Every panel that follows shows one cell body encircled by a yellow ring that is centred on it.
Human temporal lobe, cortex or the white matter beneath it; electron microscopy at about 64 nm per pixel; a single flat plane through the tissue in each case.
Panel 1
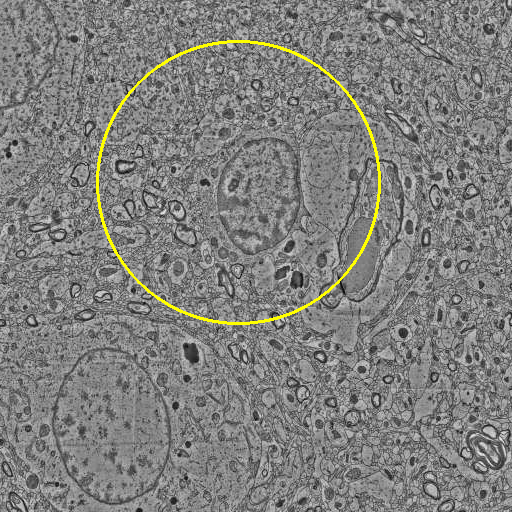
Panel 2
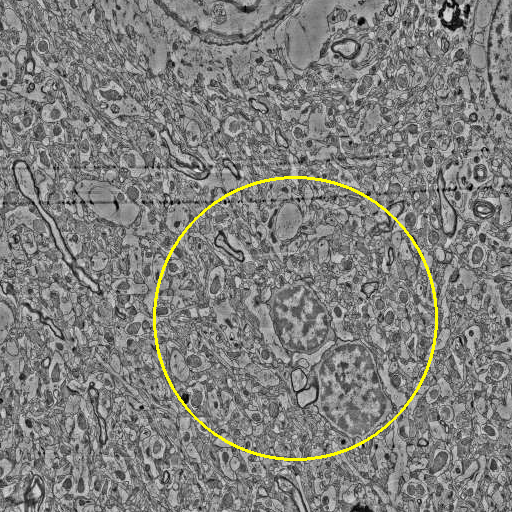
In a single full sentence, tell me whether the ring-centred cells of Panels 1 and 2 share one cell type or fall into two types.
In Panel 1 and Panel 2, the cells at the ring centres share one cell type.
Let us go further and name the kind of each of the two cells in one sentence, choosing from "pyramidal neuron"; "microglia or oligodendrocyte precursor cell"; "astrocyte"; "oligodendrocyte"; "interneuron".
Both rings mark an oligodendrocyte, one in each picture.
